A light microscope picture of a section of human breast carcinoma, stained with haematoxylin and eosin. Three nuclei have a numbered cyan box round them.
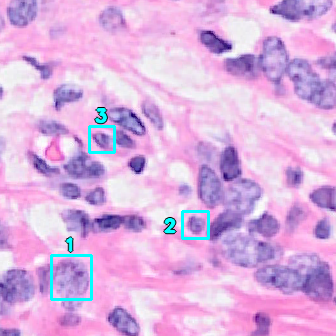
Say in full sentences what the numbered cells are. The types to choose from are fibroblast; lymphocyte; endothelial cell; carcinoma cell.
Cell 1 is a carcinoma cell. Cell 2 is a lymphocyte. Cell 3 is an endothelial cell.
